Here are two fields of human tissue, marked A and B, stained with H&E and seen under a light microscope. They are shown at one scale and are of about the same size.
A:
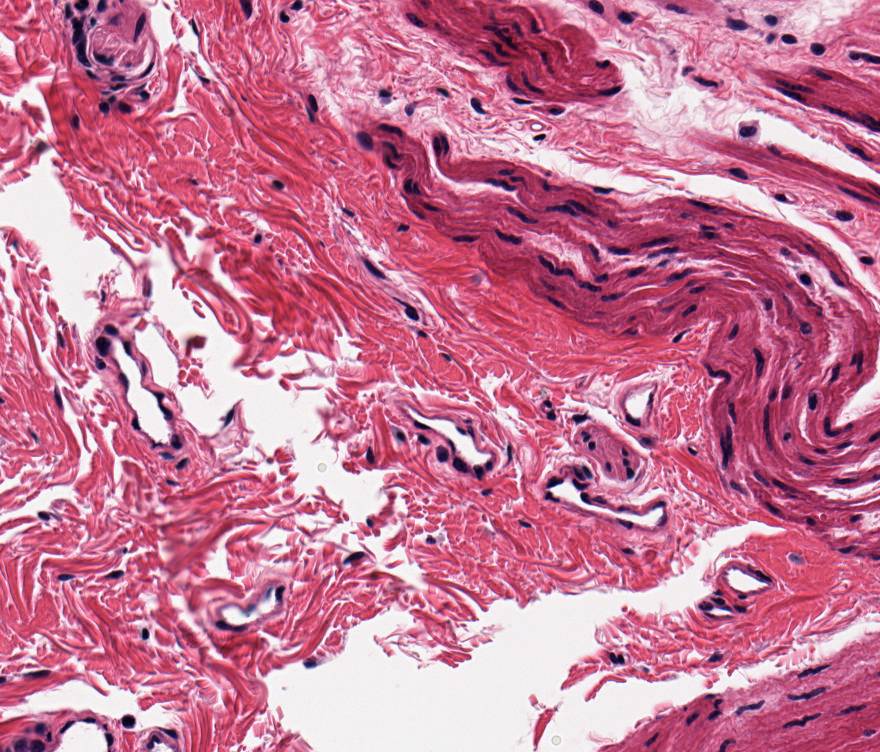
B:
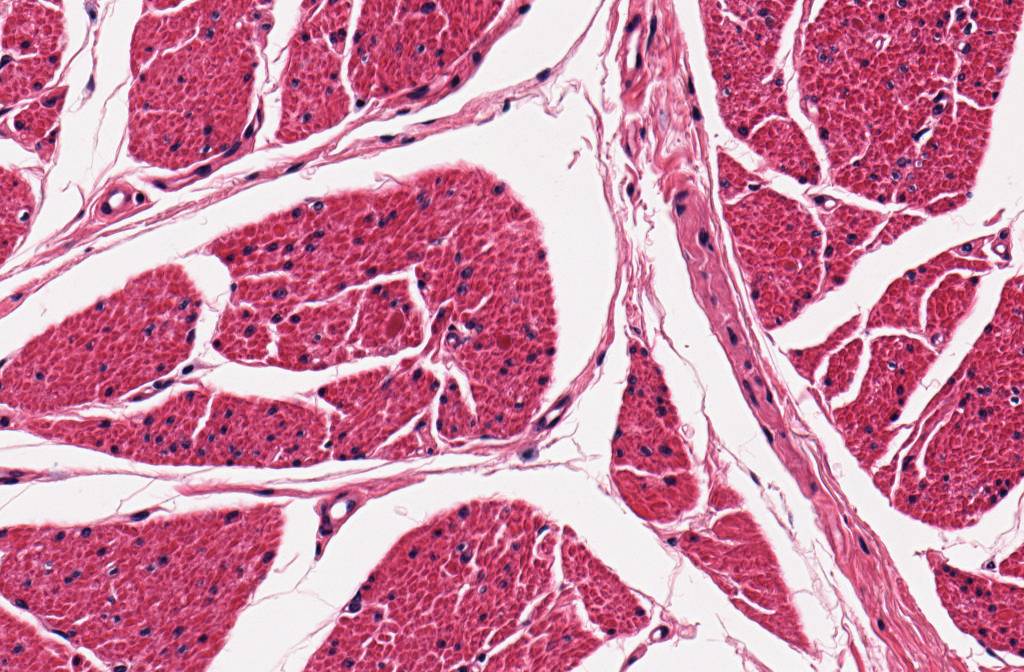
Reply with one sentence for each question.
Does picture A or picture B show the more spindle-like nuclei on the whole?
On the whole the nuclei of picture A are more drawn out than those of picture B.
